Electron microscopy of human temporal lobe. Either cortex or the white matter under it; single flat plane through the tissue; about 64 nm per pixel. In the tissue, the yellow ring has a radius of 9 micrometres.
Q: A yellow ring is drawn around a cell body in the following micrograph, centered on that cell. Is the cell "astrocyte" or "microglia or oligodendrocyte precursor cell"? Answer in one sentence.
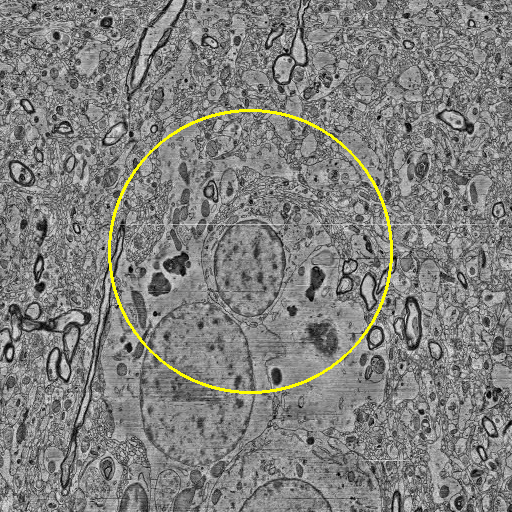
The cell in the center of the ring is a microglial cell or oligodendrocyte precursor cell.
